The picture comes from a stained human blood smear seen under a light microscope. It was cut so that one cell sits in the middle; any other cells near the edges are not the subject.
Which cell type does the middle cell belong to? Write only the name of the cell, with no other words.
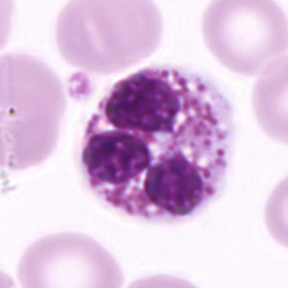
eosinophil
